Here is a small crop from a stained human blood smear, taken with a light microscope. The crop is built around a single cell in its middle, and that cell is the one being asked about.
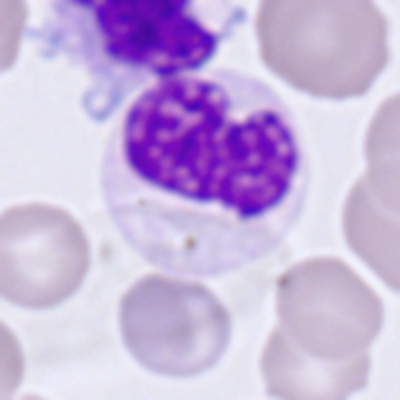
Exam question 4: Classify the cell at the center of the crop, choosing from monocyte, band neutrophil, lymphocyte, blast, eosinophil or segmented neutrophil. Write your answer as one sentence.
The cell that lies at the centre of the crop is a band neutrophil.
